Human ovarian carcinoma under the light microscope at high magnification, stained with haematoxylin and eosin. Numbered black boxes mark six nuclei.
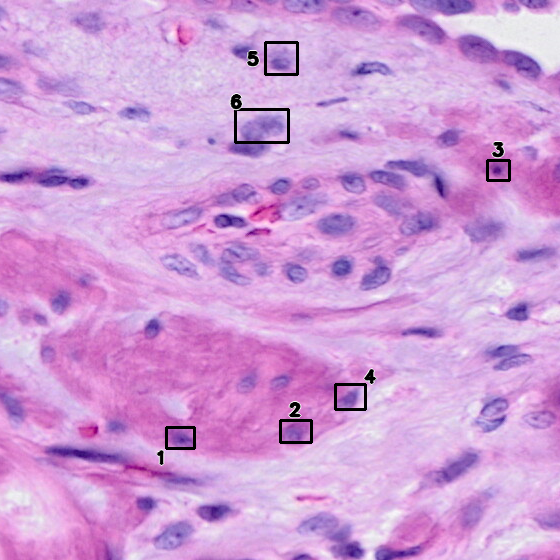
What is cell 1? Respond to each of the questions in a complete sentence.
The cell that bears the number 1 is a smooth muscle cell.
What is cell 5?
The expected answer is that cell 5 is a fibroblast.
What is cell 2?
The cell referred to as 2 is a smooth muscle cell.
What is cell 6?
Classified as a fibroblast is the cell with the number 6.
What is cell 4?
The marked cell bearing number 4 is a smooth muscle cell.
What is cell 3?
The expected answer is that cell 3 is a smooth muscle cell.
